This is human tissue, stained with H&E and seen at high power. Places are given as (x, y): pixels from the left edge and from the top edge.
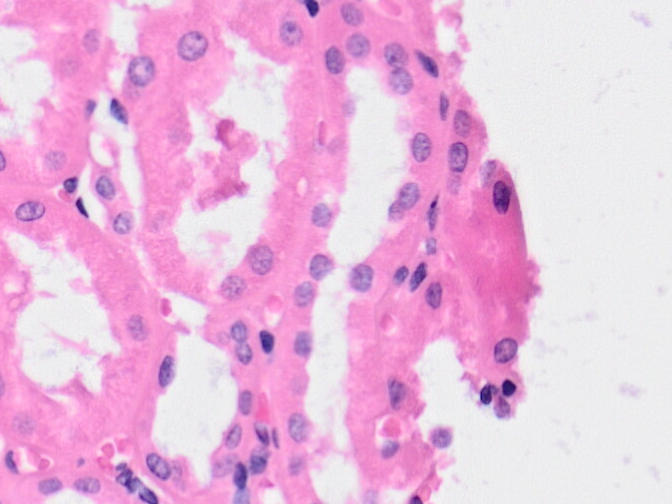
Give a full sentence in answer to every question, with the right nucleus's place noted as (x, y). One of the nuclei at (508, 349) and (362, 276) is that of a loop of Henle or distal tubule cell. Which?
The one nucleus of the two that belongs to a loop of Henle or distal tubule cell is at (362, 276).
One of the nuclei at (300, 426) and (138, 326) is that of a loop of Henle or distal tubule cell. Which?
That would be the nucleus at (300, 426); it belongs to a loop of Henle or distal tubule cell.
